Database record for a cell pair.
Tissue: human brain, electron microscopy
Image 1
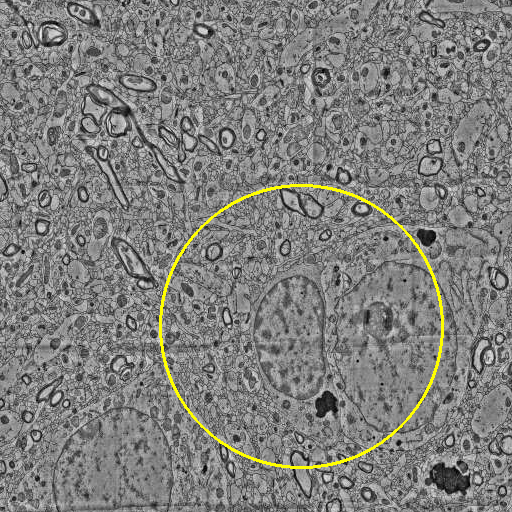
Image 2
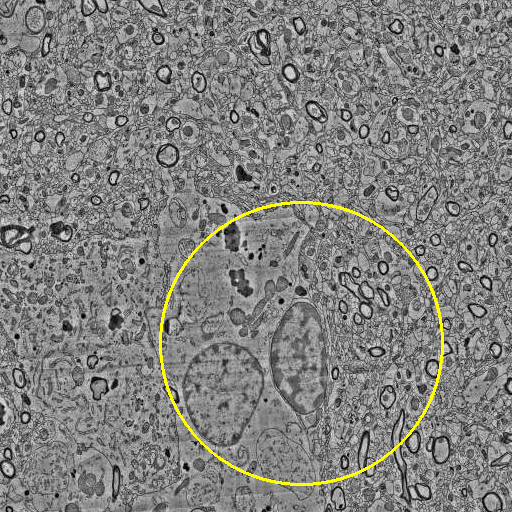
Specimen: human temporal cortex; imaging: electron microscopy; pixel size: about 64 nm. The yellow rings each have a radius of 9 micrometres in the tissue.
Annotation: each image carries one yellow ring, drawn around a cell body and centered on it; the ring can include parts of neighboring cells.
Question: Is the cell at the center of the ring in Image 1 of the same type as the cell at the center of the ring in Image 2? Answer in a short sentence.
No, the cells are of two types.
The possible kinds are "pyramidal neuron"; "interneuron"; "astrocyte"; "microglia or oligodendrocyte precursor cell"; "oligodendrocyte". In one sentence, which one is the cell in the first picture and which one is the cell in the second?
The cell ringed in the second picture is a microglial cell or oligodendrocyte precursor cell, whereas the one ringed in the first is an oligodendrocyte.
